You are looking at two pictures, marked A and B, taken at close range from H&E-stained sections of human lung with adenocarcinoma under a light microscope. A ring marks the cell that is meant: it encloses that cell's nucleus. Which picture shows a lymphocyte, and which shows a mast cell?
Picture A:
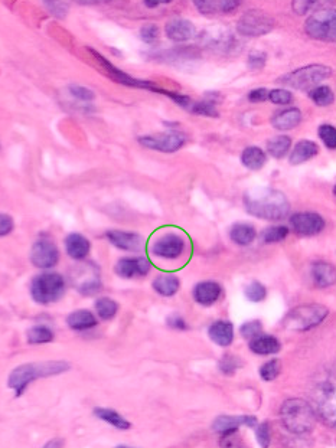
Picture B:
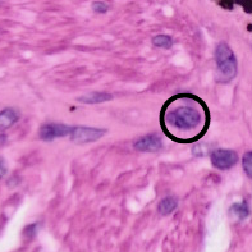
A: lymphocyte
B: mast cell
